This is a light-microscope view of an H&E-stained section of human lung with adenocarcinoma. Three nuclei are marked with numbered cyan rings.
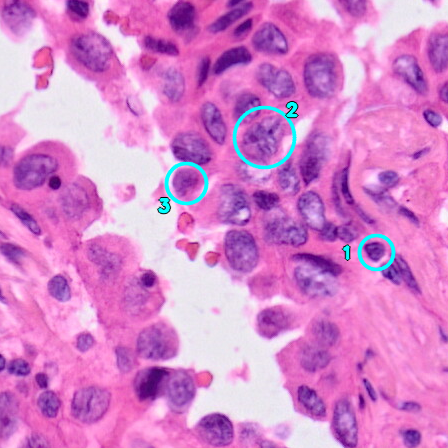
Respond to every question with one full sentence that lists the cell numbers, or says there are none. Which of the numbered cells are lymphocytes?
The numbered cell that is a lymphocyte is cell 1, and it is the only one.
